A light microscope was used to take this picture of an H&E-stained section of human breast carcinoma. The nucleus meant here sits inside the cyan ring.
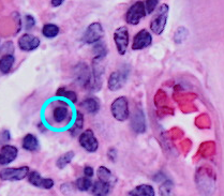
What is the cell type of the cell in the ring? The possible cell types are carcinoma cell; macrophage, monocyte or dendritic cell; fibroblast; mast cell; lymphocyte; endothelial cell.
lymphocyte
